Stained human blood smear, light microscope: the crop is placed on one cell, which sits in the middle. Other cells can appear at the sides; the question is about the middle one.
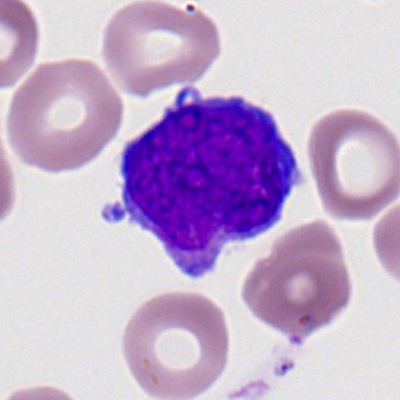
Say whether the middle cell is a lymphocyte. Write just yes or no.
no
